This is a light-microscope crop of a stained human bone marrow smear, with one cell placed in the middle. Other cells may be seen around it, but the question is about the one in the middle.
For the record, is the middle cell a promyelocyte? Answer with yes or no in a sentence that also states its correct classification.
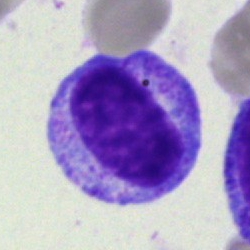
No, the central cell is classed as a myelocyte, not a promyelocyte.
